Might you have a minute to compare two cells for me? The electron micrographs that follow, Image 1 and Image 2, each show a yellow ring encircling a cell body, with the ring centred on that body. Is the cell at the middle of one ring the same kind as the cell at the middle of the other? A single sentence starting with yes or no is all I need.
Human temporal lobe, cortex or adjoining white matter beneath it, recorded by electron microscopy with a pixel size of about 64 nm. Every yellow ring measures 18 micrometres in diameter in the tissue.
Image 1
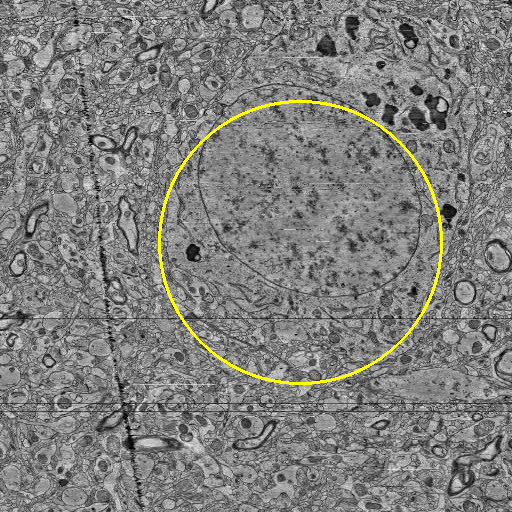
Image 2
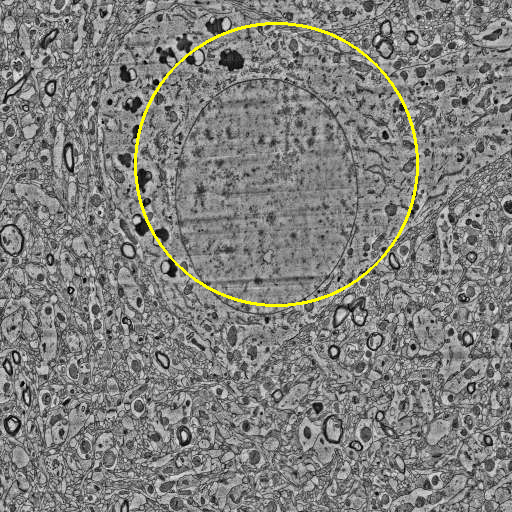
Yes, the cells in the middle of the two rings are of one shared kind.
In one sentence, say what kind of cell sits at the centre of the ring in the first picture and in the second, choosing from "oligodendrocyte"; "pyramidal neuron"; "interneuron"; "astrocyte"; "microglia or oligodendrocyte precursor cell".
Each cell, in the first picture and the second, is a pyramidal neuron.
